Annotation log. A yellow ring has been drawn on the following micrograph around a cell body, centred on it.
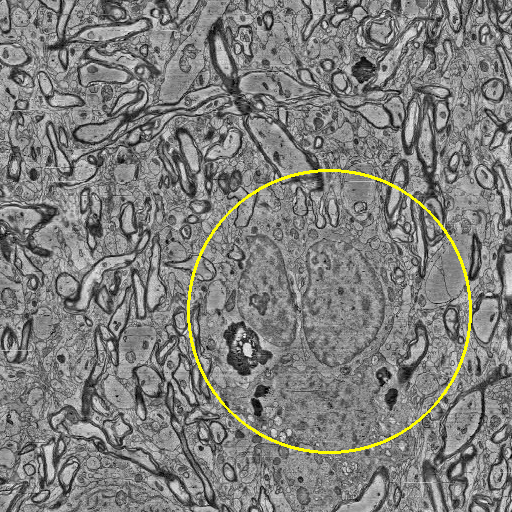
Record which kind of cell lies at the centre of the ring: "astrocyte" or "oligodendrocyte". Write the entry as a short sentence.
The cell the ring is centred on is an oligodendrocyte.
